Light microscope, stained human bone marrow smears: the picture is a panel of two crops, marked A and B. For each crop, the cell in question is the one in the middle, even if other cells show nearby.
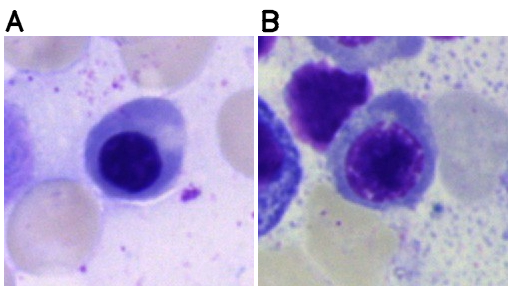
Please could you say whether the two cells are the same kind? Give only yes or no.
yes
